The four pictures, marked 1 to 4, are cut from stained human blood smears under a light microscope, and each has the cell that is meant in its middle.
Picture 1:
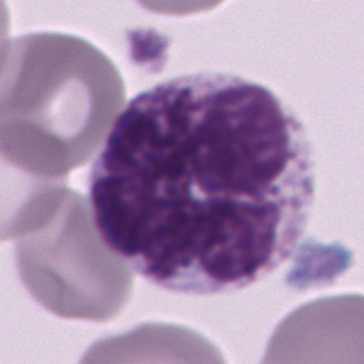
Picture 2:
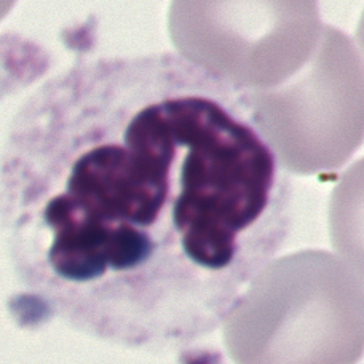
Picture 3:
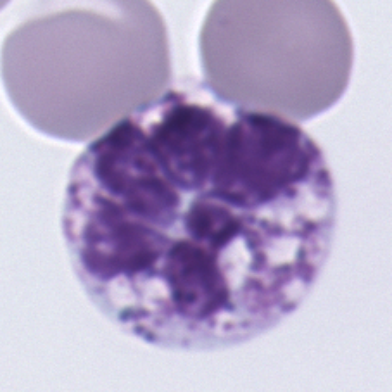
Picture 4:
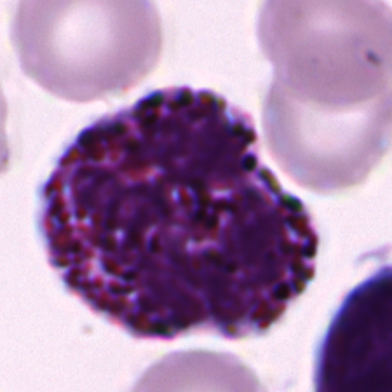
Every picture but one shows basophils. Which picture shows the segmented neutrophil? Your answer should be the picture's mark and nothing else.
2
